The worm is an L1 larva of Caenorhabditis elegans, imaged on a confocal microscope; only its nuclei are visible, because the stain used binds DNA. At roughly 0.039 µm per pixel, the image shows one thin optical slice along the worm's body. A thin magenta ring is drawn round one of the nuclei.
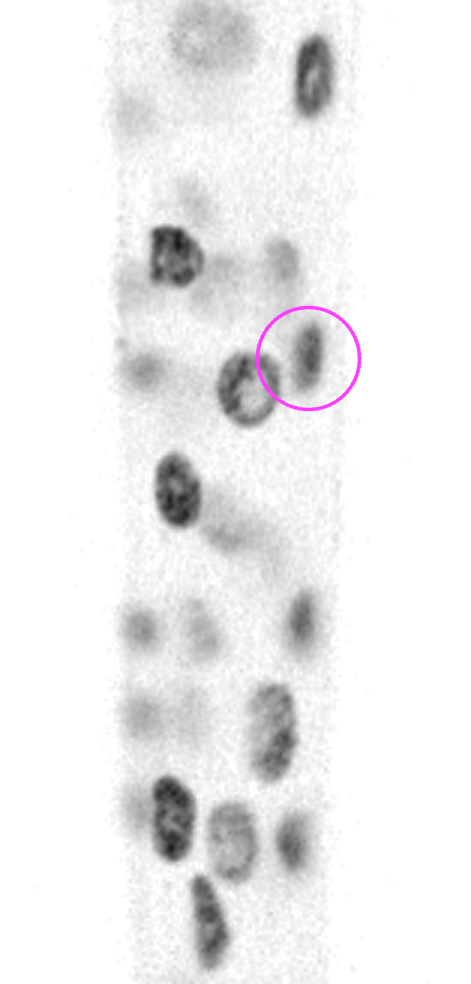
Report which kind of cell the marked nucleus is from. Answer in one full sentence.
The cell with the marked nucleus is a body wall muscle cell.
